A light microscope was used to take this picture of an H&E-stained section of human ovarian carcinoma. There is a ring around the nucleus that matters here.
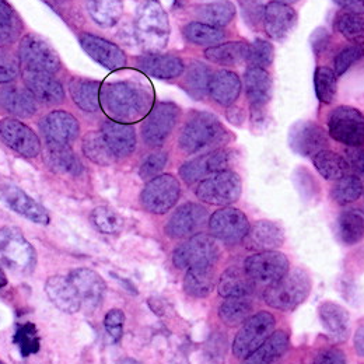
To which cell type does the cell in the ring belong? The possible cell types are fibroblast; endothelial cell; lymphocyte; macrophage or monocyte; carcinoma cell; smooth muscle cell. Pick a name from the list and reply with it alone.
carcinoma cell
